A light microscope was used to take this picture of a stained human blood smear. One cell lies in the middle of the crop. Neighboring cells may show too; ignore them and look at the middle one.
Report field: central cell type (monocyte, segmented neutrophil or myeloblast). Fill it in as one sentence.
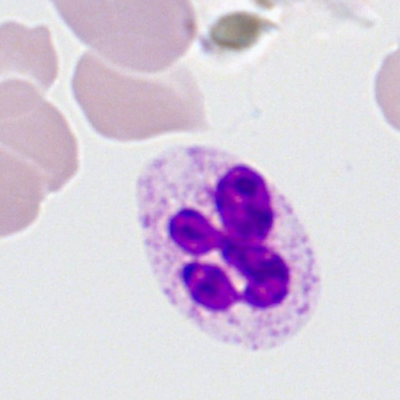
Here the centrally located cell is a segmented neutrophil.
